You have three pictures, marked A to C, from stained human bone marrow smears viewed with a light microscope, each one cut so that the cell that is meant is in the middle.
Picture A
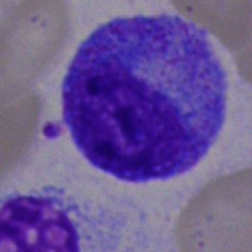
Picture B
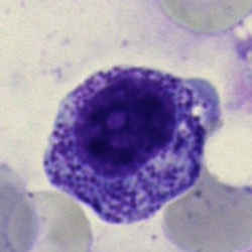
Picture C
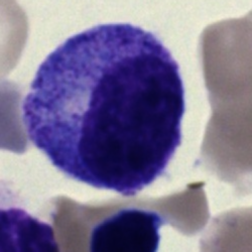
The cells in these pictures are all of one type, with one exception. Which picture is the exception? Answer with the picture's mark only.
B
